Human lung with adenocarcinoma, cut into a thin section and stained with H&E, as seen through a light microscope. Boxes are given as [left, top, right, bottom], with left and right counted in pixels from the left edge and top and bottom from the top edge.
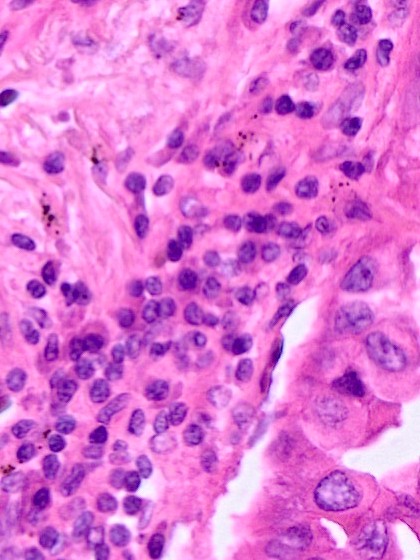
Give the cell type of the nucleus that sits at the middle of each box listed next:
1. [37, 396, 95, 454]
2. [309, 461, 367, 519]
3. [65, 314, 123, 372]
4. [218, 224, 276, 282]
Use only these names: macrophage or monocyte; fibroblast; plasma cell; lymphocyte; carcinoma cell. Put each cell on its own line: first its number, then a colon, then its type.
1: lymphocyte
2: carcinoma cell
3: plasma cell
4: plasma cell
